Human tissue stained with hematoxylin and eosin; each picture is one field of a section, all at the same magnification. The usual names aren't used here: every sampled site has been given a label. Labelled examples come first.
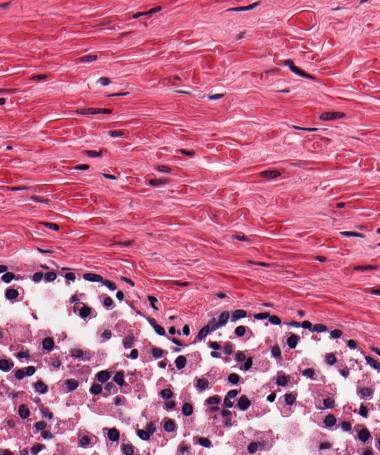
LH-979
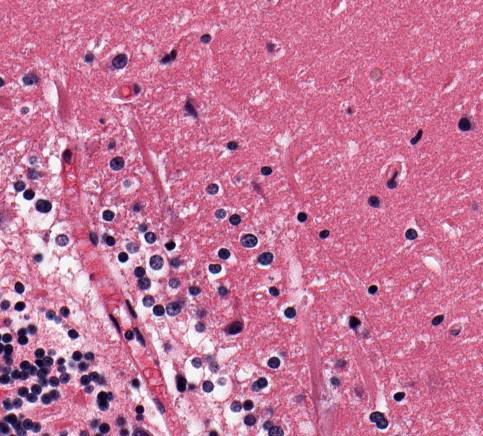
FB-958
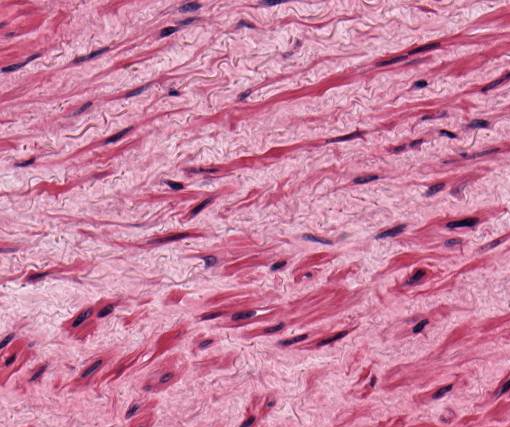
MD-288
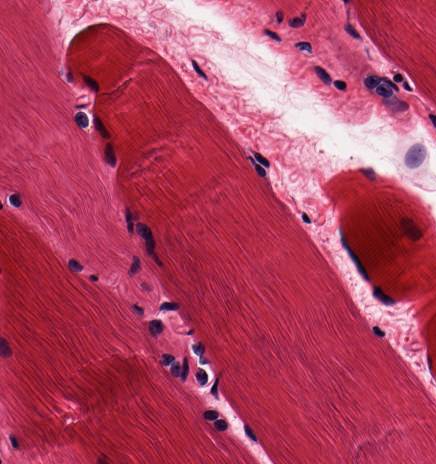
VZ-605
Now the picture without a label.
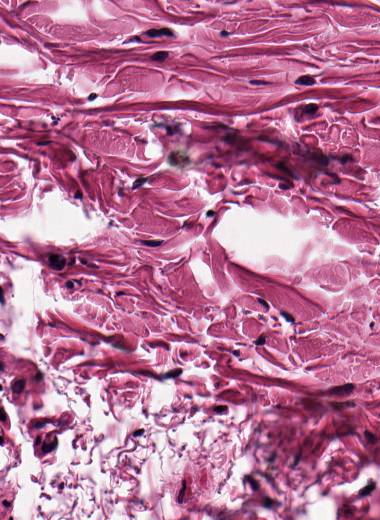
VZ-605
